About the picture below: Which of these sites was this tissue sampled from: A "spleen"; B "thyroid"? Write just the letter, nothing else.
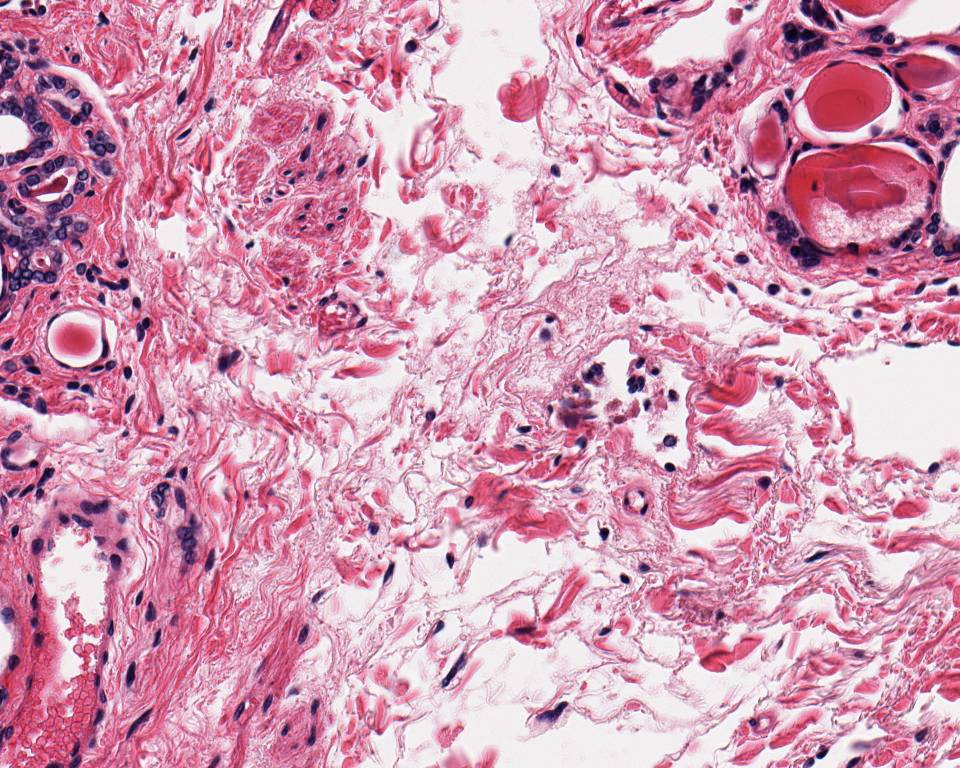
B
